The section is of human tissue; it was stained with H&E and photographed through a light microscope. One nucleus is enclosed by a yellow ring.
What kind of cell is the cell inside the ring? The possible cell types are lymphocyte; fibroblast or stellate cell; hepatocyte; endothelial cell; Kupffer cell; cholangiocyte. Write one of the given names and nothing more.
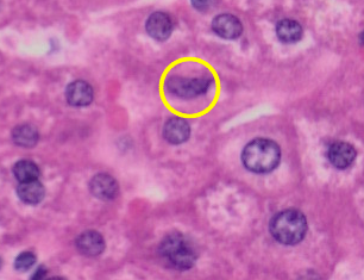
Kupffer cell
